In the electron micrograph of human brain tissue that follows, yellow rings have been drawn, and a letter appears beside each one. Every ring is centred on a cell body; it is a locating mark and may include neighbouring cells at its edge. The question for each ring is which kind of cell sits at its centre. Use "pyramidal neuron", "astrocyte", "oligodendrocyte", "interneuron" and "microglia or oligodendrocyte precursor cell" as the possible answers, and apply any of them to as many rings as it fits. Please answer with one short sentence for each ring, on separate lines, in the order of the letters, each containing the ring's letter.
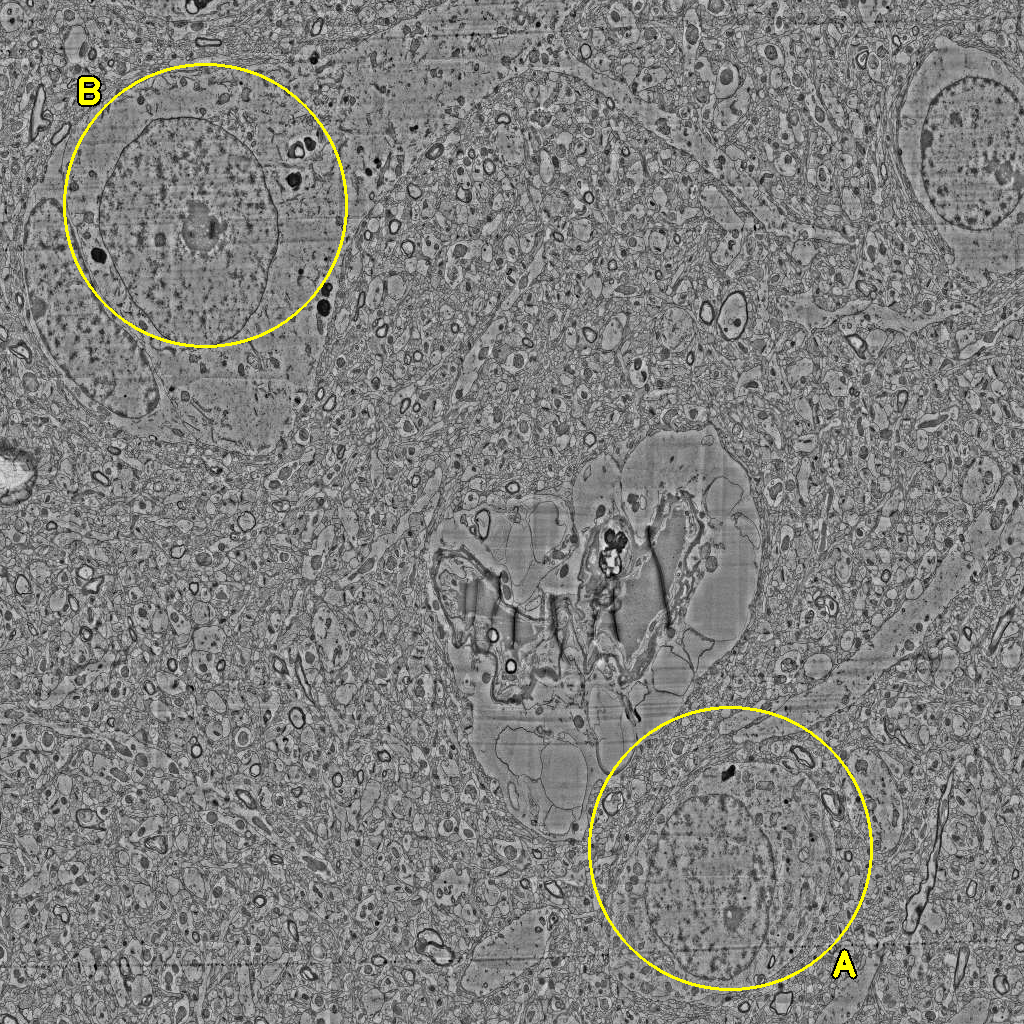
Sitting at the centre of ring A is an interneuron.
Sitting at the centre of ring B is a pyramidal neuron.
